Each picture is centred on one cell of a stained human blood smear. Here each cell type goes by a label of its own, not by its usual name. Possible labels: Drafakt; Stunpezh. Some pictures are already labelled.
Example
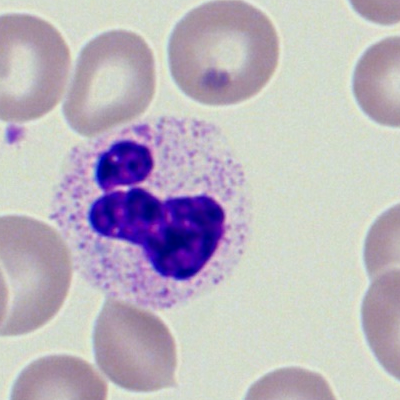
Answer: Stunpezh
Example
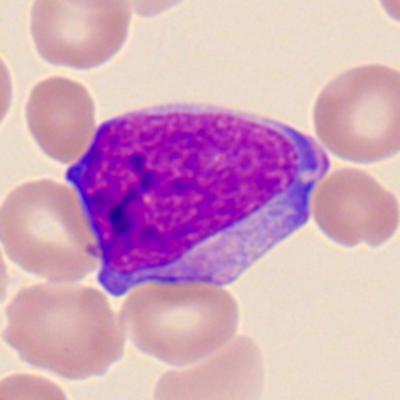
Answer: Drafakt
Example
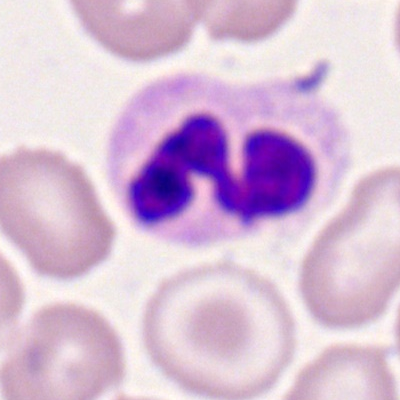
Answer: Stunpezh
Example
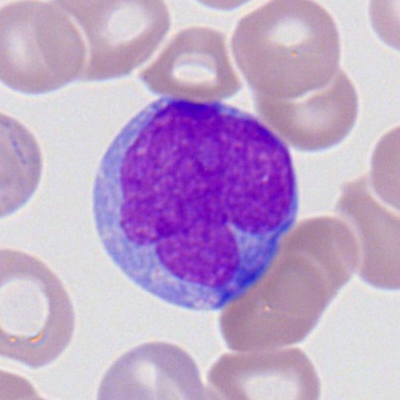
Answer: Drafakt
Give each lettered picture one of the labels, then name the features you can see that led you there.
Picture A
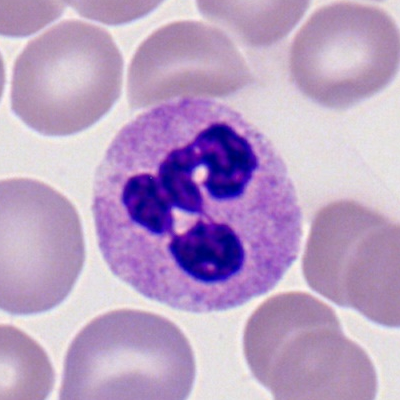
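Stunpezh. The cytoplasm is plentiful and pale pinkish-lilac.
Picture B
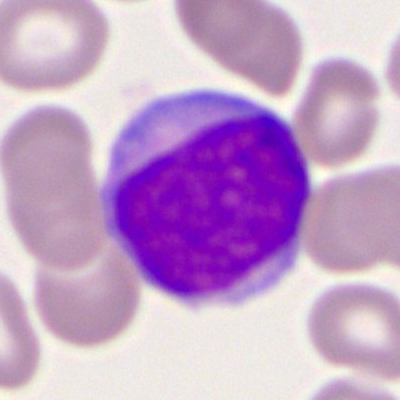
Drafakt. The nucleus fills most of the cell and sits toward the lower right.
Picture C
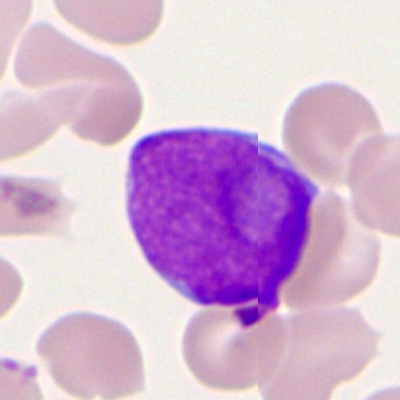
Drafakt. The nucleus fills almost the whole cell.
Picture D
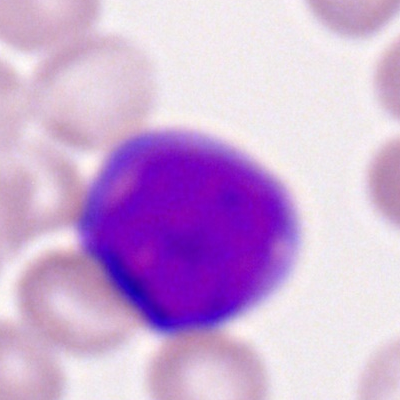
Drafakt. The cytoplasm is only a thin deep-blue rim, seen best along the lower left edge.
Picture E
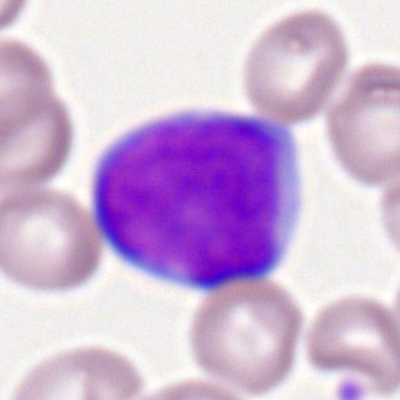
Drafakt. The nucleus is a single unlobed mass.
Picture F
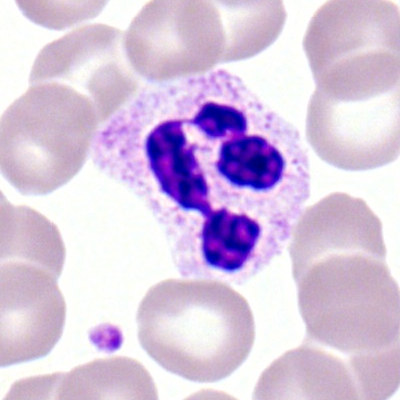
Stunpezh. The cytoplasm is plentiful and pale pink-lilac.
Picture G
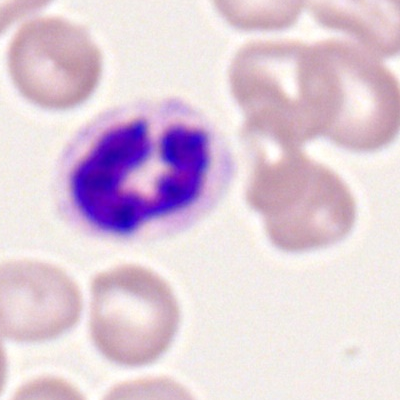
Stunpezh. The nucleus is curved into a horseshoe-like shape around a pale central gap.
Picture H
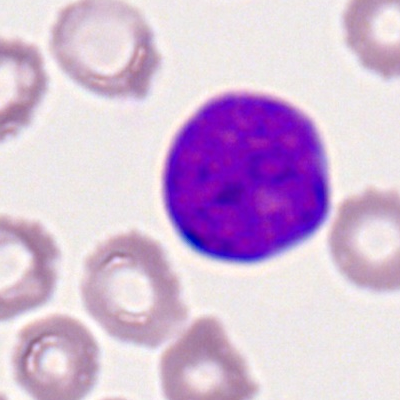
Drafakt. The cytoplasm shows only as a very thin rim, clearest at the lower left edge.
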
